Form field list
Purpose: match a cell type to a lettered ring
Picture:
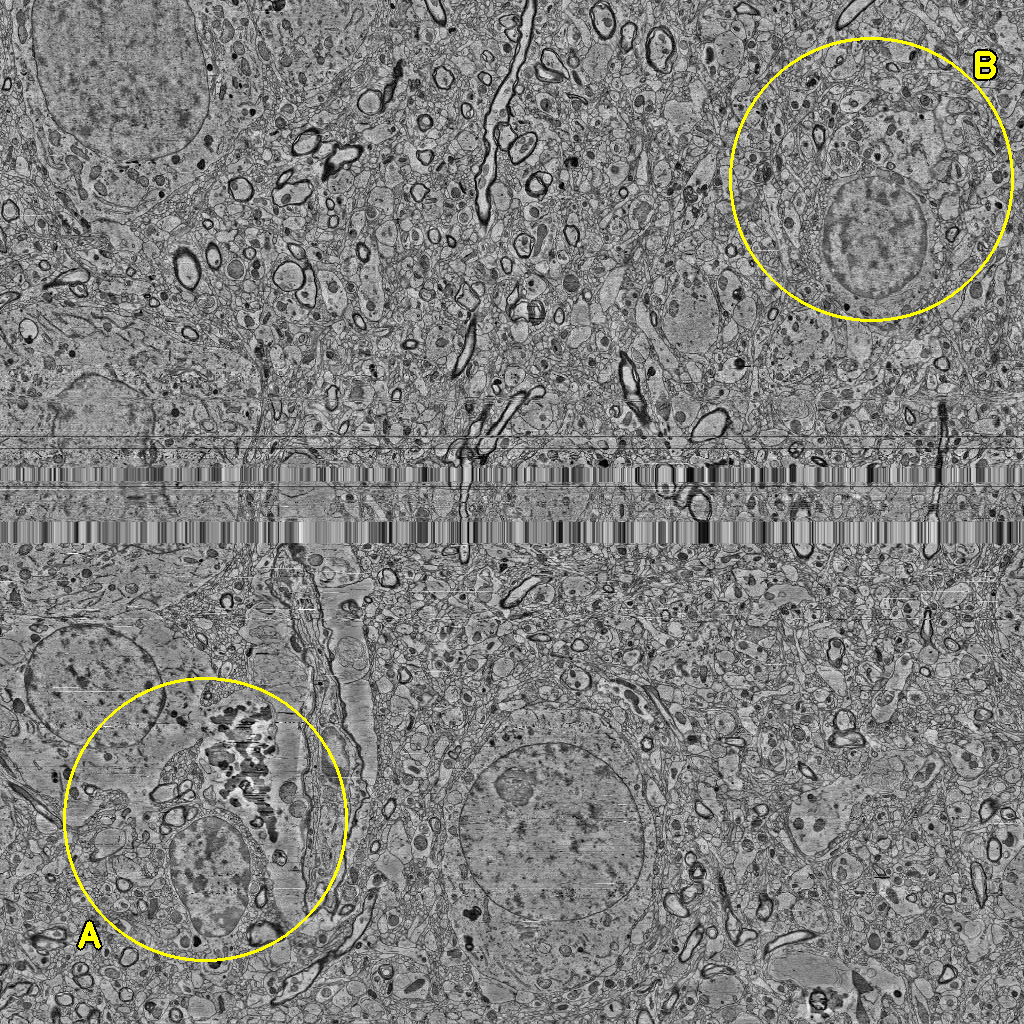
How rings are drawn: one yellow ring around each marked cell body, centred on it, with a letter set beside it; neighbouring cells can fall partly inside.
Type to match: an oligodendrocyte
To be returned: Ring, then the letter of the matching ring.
Ring B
